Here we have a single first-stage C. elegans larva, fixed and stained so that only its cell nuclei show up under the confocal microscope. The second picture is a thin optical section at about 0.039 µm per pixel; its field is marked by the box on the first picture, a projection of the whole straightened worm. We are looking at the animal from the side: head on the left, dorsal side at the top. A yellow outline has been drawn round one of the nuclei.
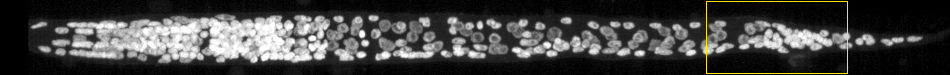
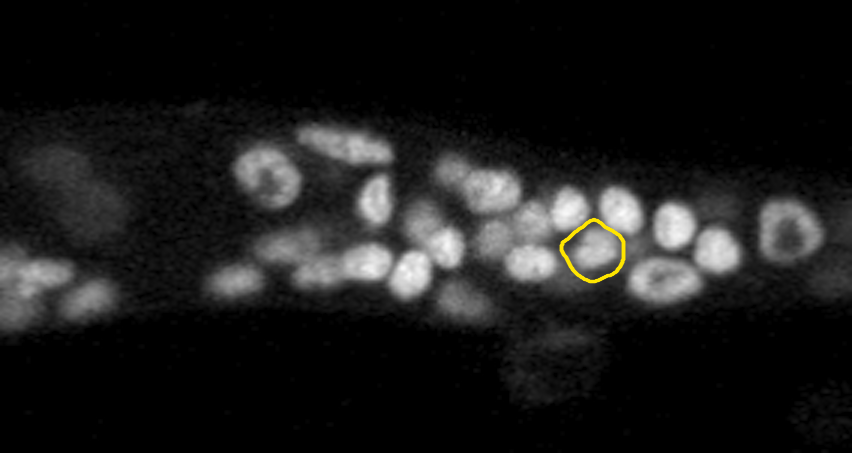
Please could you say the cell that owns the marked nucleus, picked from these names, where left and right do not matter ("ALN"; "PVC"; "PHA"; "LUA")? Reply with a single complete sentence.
It belongs to PVC, a neuron.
